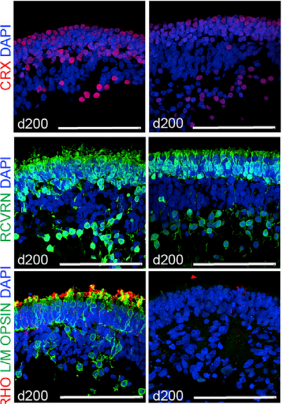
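These are sections through the outer layers of retinal organoids, with many rows of small round blue nuclei crowded toward the apical surface. In the bottom row, the left image shows red and green label concentrated along the apical surface, with some green slender cells below, whereas the right image shows almost no such label.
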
